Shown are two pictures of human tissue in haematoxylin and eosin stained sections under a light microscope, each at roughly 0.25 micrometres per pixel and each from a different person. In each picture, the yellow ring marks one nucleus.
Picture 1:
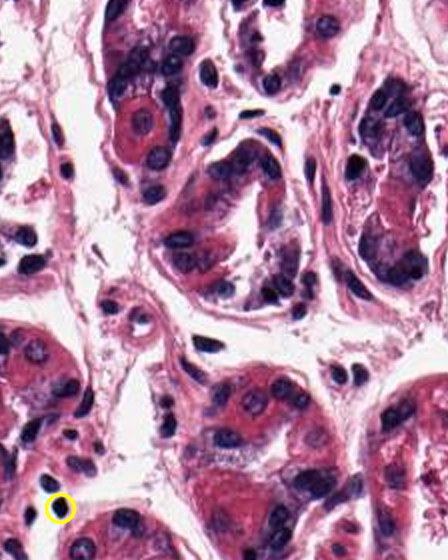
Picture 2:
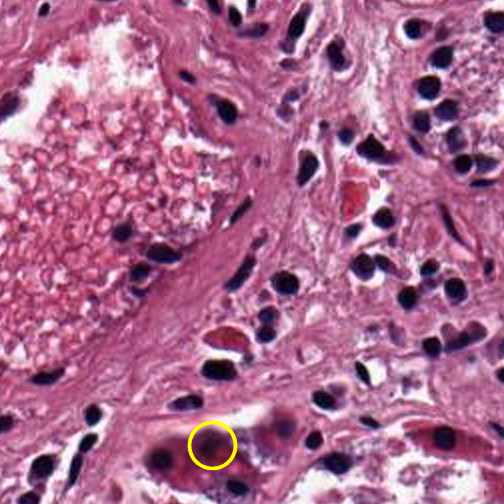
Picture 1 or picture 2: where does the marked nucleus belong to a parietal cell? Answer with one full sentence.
It is the marked nucleus of picture 2 that belongs to a parietal cell.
